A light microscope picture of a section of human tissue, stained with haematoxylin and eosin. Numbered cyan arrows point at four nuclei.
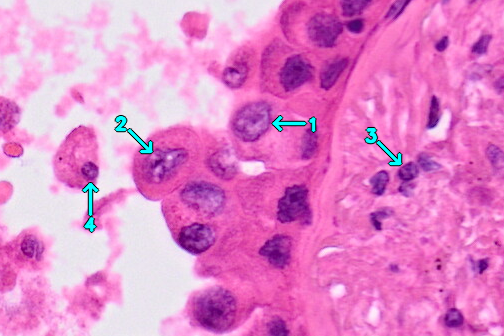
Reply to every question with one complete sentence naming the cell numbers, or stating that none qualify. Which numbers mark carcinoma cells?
The cells tagged with numbers 1 and 2 are carcinoma cells.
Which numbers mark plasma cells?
Only one choice fits: cell 3 is a plasma cell, and no other.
